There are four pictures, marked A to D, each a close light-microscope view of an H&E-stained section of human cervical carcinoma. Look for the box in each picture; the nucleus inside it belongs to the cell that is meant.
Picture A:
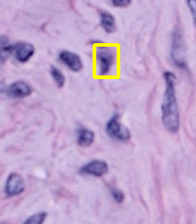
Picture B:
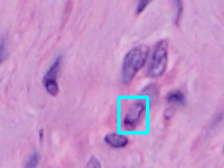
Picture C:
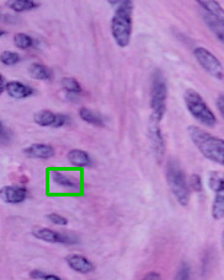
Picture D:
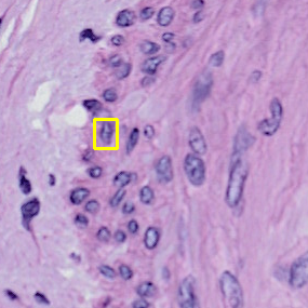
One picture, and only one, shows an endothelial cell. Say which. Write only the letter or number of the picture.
B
